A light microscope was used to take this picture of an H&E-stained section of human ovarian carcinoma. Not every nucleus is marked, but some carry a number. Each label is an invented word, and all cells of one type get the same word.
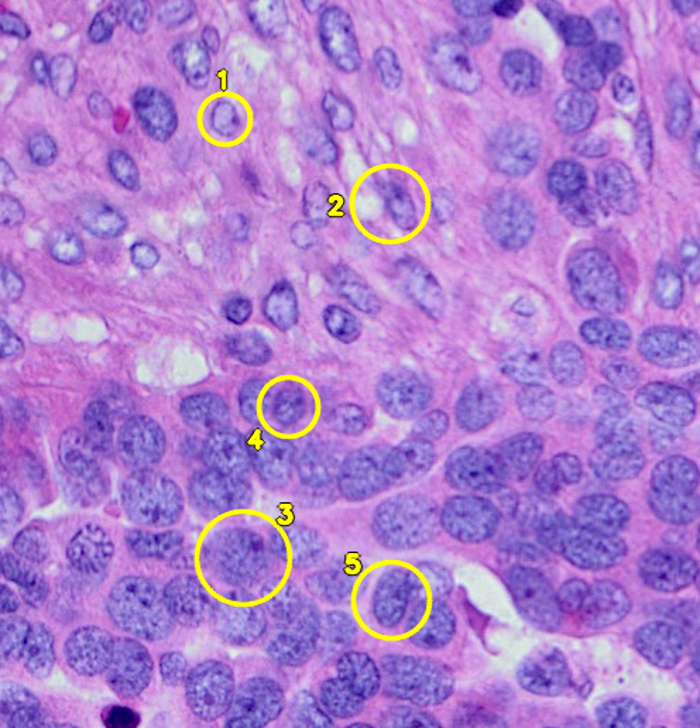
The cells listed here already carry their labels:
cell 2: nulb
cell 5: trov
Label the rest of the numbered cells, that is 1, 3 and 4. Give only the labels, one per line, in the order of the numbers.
nulb
trov
trov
